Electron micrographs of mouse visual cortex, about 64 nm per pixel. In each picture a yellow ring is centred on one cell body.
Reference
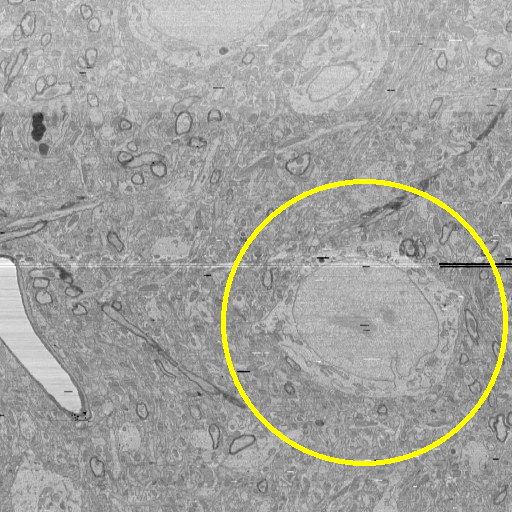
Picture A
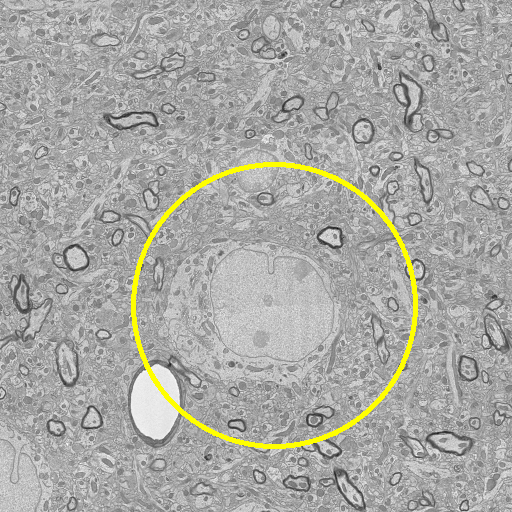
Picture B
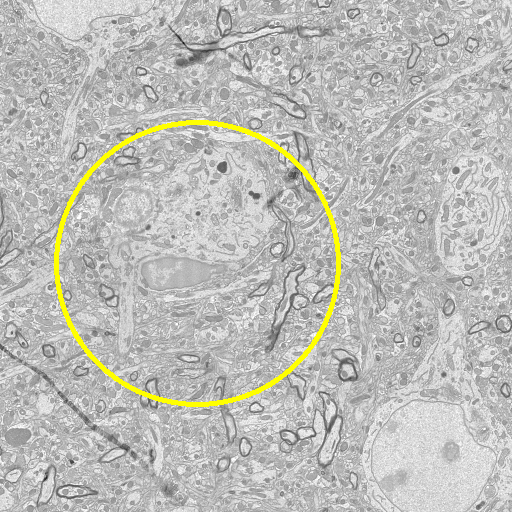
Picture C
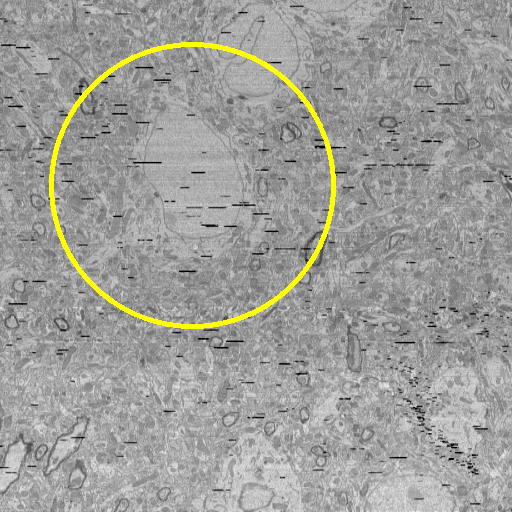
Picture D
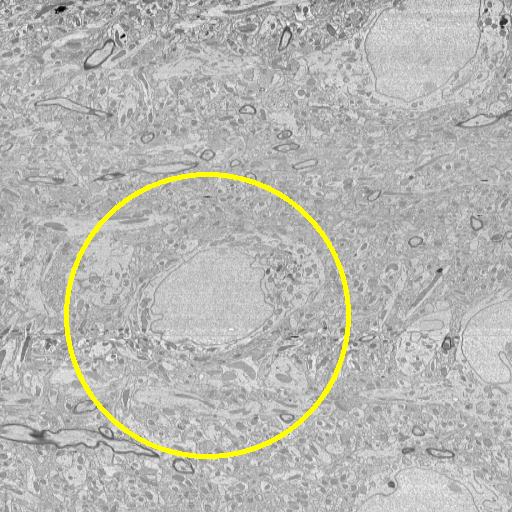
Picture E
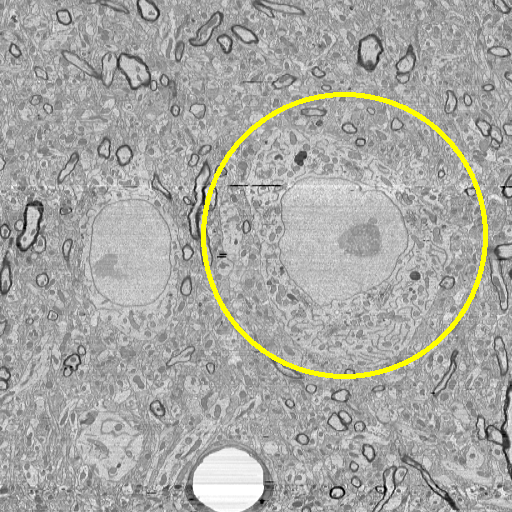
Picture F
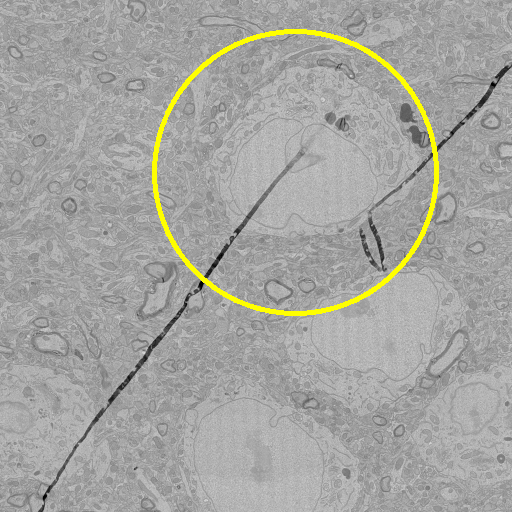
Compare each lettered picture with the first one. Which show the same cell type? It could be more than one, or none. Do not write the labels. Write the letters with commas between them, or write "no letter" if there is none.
D, E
